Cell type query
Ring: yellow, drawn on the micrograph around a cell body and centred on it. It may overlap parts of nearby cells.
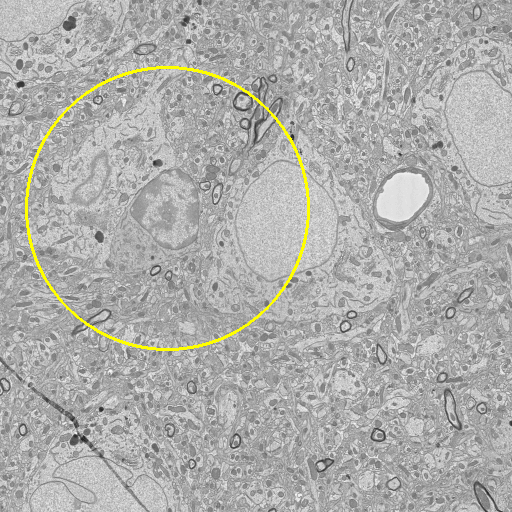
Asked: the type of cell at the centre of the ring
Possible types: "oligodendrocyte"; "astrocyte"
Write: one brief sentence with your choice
The ring marks an oligodendrocyte.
